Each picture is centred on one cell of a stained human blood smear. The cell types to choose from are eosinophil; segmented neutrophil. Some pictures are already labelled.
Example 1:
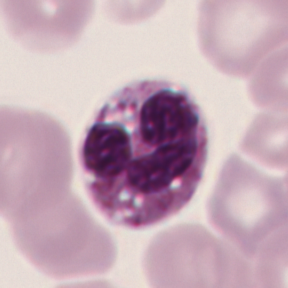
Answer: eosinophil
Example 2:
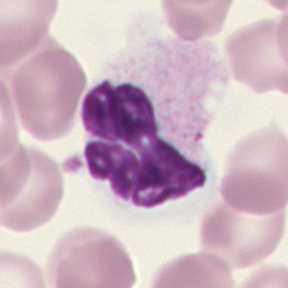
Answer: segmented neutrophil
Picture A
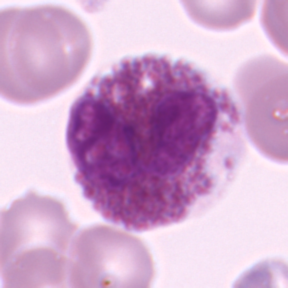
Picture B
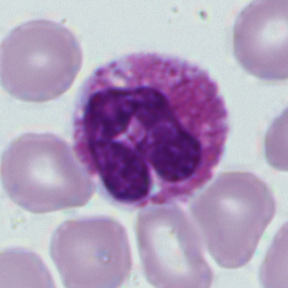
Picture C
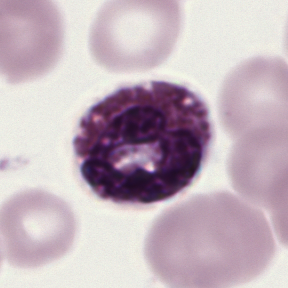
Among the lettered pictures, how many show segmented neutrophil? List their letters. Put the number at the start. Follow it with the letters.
0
